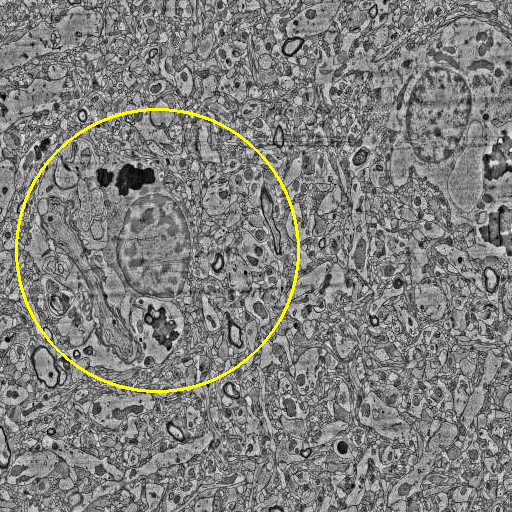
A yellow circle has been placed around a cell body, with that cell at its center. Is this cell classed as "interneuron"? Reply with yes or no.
No, it belongs to another class.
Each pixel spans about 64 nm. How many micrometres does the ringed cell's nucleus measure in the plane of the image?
In this plane the nucleus measures roughly 7 by 5 micrometres.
